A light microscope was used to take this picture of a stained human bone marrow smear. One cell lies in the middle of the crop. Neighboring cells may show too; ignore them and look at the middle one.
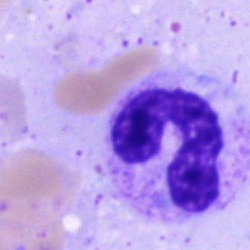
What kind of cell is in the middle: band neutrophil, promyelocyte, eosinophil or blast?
band neutrophil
